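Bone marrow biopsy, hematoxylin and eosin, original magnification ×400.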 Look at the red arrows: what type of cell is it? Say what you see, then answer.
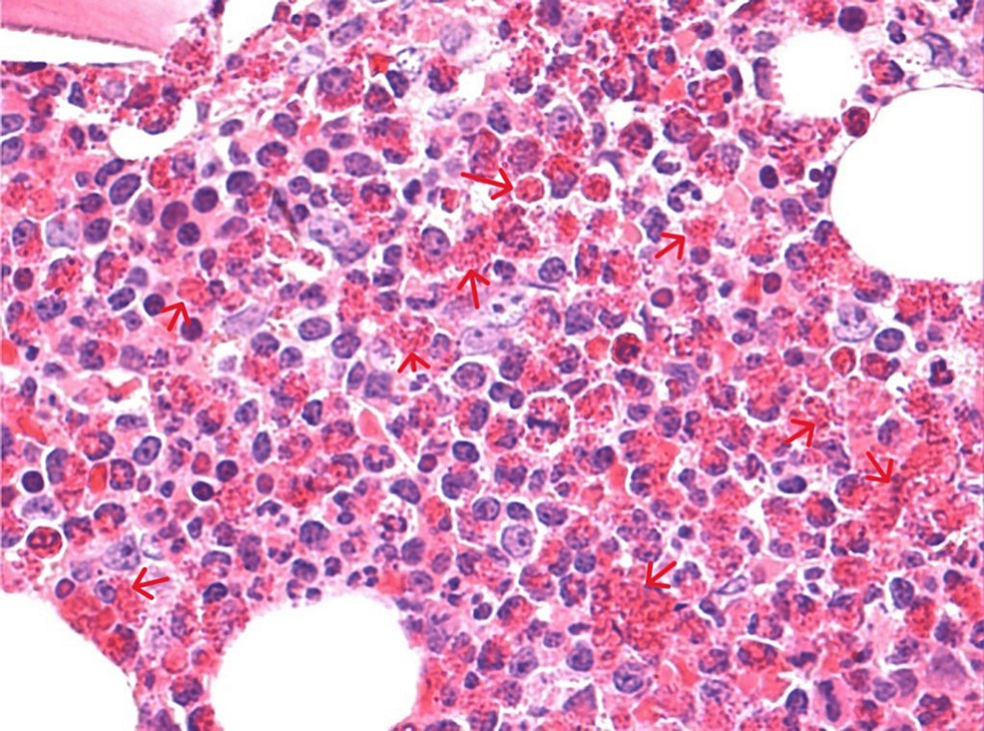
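Marked cells have cytoplasm packed with coarse bright red-orange granules. Marked cells have round to lobed dark purple nuclei. Many similar red-granulated cells fill the field. The answer: eosinophil.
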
